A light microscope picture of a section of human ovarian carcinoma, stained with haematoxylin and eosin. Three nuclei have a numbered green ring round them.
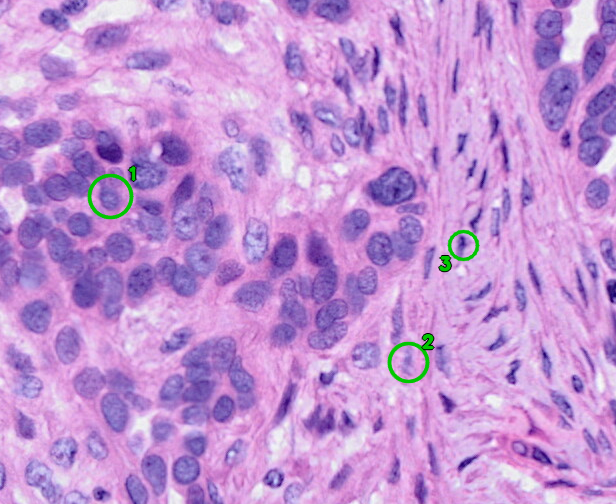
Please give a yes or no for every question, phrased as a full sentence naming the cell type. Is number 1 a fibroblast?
No, the cell numbered 1 is a carcinoma cell rather than a fibroblast.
